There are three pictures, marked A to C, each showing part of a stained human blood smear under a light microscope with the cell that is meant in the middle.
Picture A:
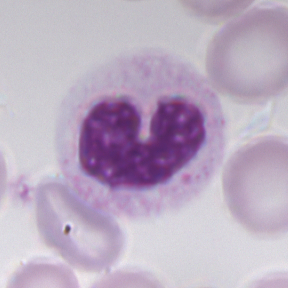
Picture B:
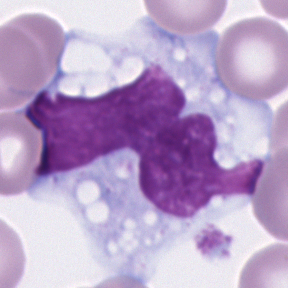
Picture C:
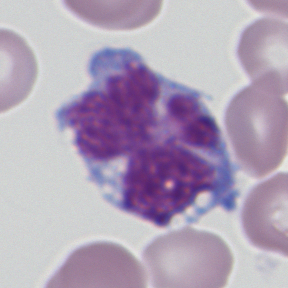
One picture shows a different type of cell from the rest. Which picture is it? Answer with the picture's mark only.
A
